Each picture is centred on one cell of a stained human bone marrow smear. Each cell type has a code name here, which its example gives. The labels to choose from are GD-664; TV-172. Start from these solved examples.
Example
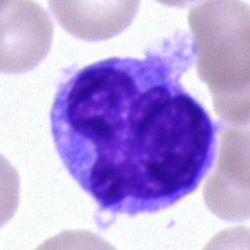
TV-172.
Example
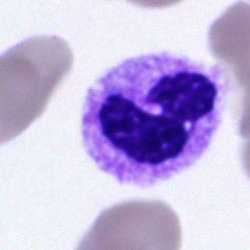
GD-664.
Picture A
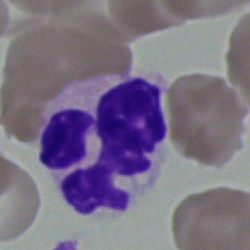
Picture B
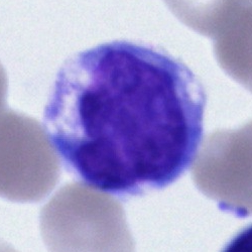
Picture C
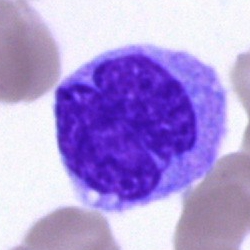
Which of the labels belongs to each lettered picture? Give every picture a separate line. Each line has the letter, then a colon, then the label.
A: GD-664.
B: TV-172.
C: TV-172.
